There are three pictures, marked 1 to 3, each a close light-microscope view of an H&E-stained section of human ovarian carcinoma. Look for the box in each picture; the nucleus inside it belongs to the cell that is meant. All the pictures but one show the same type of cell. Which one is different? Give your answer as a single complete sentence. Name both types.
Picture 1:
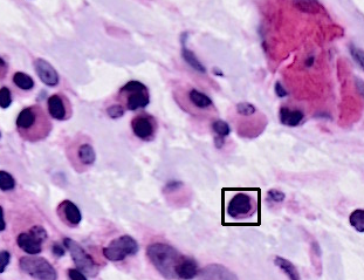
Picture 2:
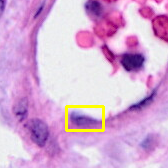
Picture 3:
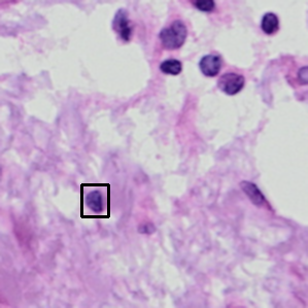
Picture 2 differs, because its cell is an endothelial cell and the rest are lymphocytes.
